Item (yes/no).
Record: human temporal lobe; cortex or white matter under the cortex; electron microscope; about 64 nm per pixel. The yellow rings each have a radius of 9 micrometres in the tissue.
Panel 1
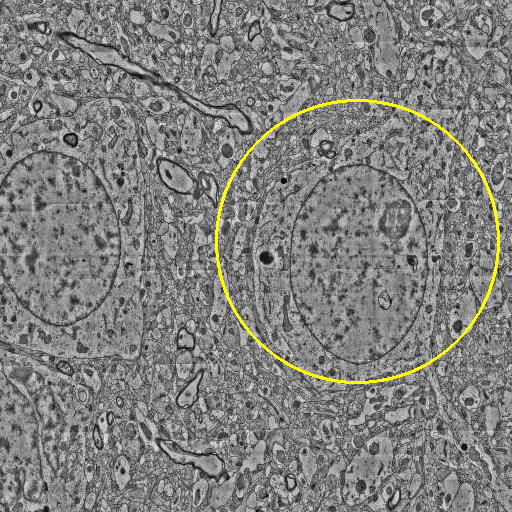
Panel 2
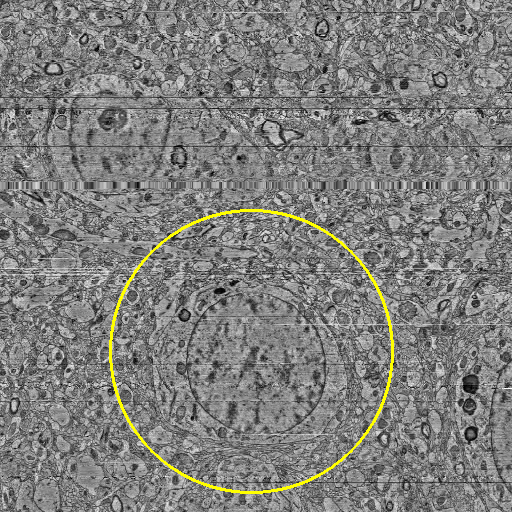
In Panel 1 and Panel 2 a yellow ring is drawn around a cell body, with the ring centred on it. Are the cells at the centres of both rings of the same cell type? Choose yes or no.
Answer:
yes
